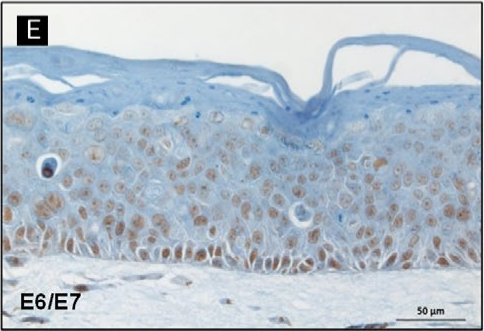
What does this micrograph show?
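This is a thick stratified epithelium of keratinocytes with many layers of polygonal cells with distinct borders and round nuclei, most of which stain brown, especially in the lower layers. The superficial cells are flattened and blue, topped by a folded, laminated cornified layer, and a few cells show clear perinuclear halos.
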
